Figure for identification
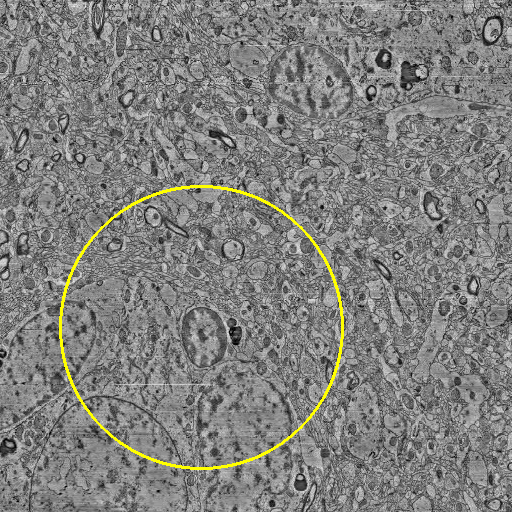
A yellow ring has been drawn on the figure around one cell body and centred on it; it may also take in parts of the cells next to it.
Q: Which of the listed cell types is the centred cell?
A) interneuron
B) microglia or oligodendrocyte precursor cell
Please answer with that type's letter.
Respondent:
B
